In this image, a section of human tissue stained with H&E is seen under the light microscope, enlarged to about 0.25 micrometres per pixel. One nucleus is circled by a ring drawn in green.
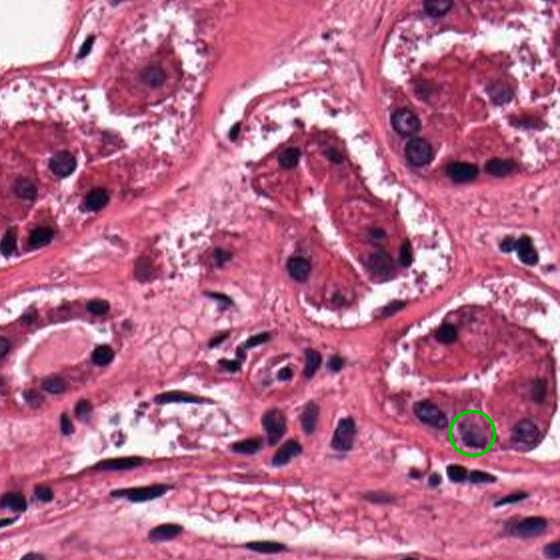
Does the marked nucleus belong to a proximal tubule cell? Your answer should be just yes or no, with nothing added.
yes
